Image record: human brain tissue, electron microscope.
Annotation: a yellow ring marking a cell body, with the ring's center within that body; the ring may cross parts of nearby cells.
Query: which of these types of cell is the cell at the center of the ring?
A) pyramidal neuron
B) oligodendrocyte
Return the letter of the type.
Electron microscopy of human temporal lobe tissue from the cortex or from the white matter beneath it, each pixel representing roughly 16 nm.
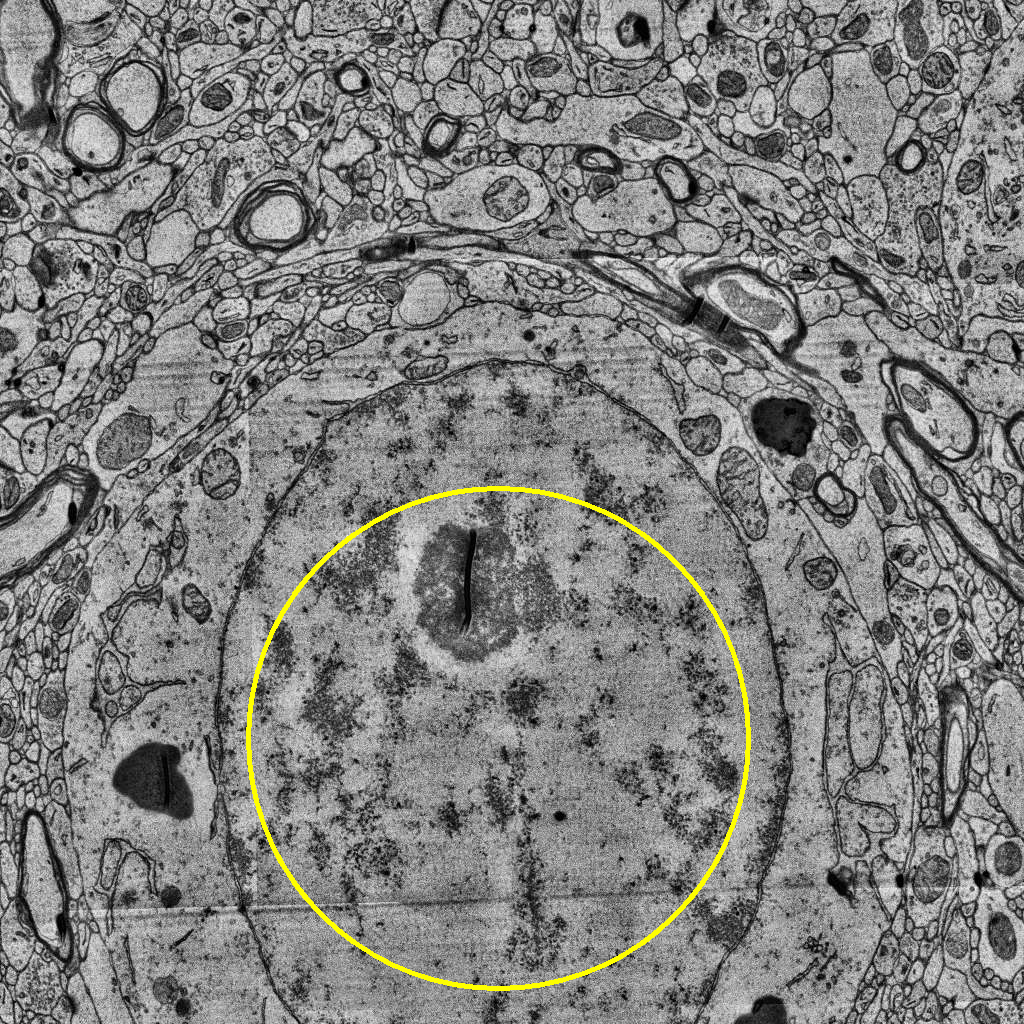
A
